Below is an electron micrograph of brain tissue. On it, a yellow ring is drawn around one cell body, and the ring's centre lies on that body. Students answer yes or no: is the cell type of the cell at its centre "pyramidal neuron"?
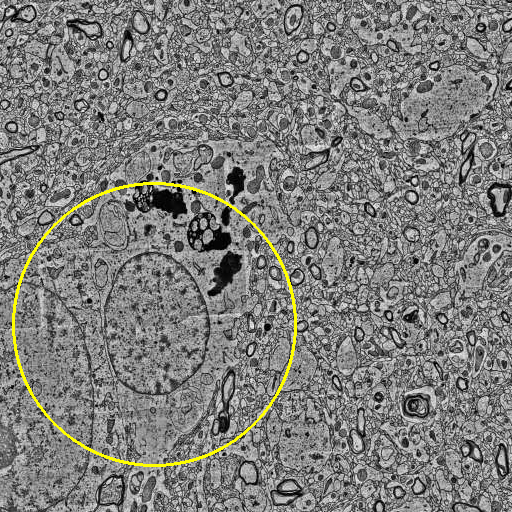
no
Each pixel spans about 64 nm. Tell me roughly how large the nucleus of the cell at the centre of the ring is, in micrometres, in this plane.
In this plane the nucleus measures roughly 9 by 7 micrometres.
